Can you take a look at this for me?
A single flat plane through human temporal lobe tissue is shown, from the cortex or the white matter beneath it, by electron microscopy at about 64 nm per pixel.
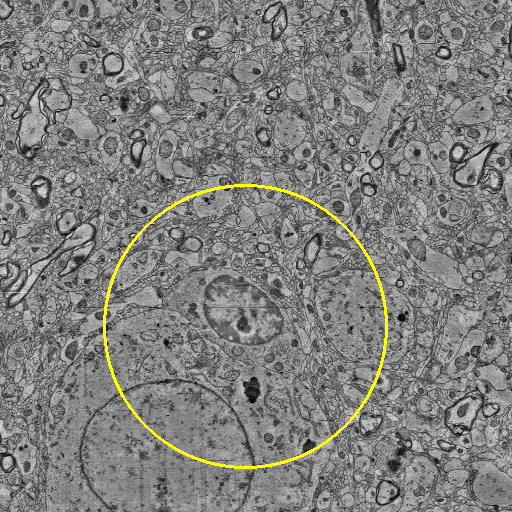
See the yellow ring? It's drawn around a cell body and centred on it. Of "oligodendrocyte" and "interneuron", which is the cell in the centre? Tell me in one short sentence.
The one in the centre is an oligodendrocyte.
